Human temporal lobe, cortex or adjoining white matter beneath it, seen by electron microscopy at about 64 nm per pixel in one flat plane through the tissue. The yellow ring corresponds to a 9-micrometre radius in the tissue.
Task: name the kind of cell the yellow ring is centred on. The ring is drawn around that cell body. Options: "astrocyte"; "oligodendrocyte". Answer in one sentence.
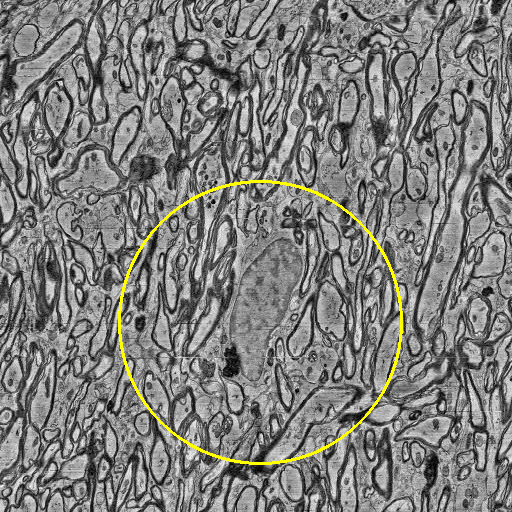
This cell body belongs to an oligodendrocyte.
